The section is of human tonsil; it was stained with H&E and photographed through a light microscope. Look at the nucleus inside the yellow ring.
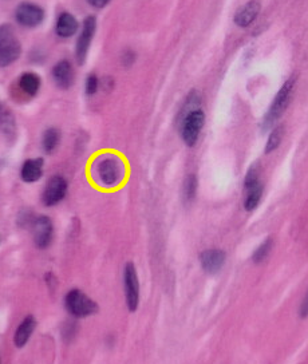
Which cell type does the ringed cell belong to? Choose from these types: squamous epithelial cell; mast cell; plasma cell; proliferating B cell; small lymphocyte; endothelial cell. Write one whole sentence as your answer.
In this tissue sample, the ringed cell is a mast cell.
